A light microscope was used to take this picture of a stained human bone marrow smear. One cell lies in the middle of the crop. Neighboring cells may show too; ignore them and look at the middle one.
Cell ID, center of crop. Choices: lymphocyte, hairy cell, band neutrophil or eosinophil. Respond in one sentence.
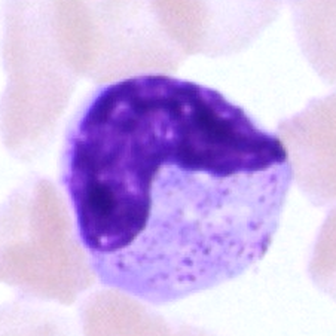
On this slide crop, the central cell is a band neutrophil.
